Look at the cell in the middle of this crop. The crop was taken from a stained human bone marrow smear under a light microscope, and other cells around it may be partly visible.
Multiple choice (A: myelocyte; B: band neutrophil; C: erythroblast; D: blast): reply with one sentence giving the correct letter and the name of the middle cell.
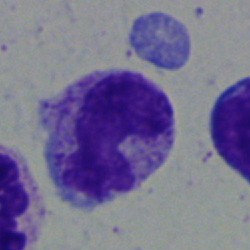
Option B is accurate; the centrally placed cell is a band neutrophil.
